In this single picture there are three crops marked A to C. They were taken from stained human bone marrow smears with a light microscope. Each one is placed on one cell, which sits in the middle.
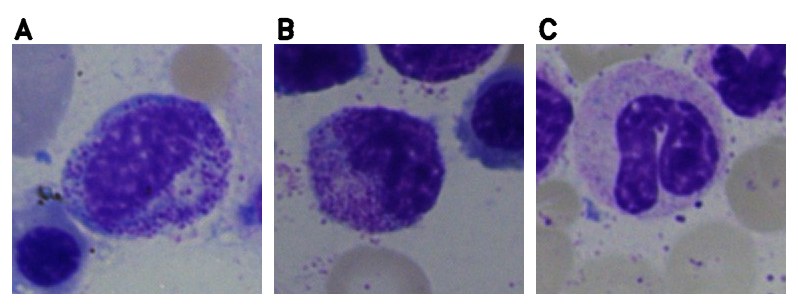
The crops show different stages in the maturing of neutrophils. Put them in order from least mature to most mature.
A, B, C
